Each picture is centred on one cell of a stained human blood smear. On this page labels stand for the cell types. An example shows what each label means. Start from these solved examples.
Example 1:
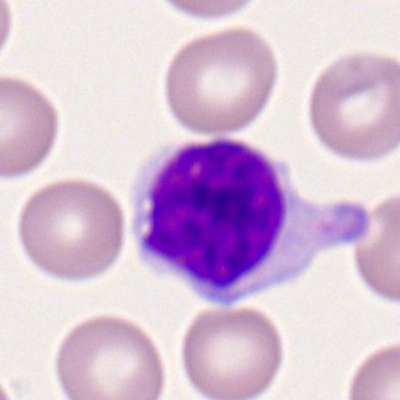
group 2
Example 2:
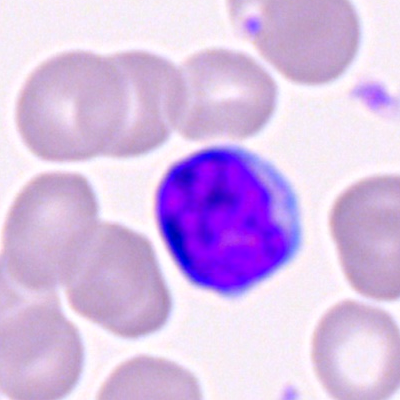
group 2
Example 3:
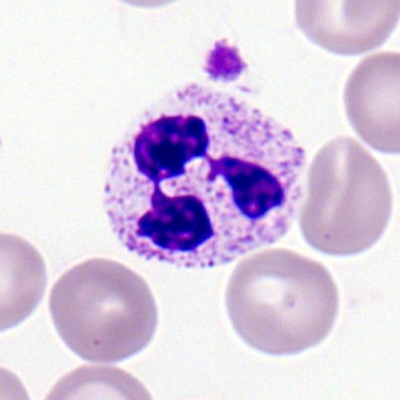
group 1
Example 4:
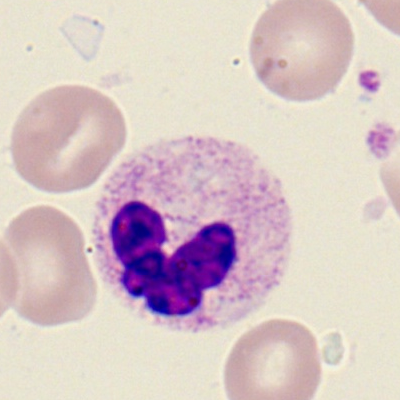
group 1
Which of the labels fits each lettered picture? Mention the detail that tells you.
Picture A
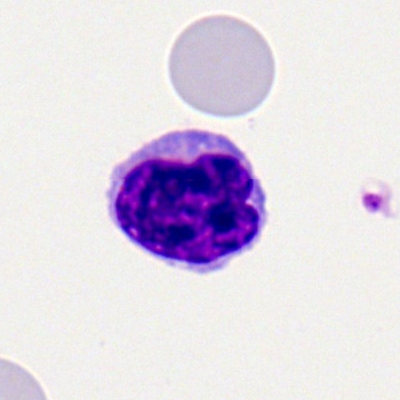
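group 2: The nucleus fills most of the cell.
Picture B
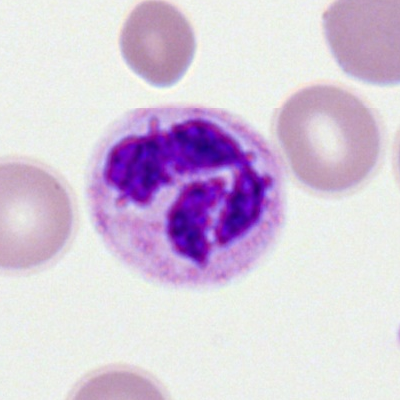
group 1: The nucleus is divided into several distinct lobes.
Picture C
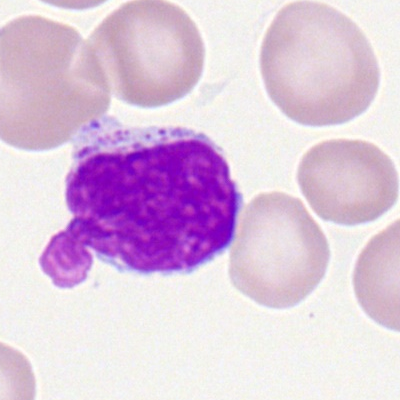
group 2: A scant rim of pale blue-grey cytoplasm lies mainly along the top of the cell.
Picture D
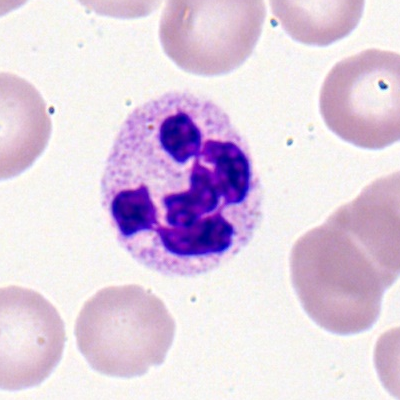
group 1: The cytoplasm is abundant and pale pinkish-lilac.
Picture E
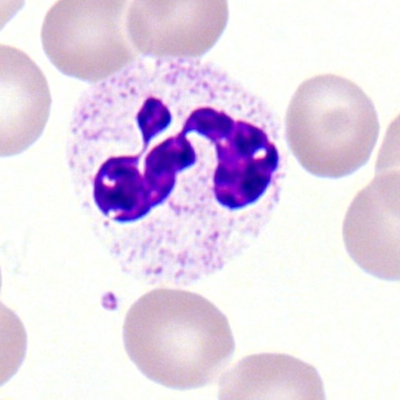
group 1: The nucleus is divided into more than two lobes.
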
